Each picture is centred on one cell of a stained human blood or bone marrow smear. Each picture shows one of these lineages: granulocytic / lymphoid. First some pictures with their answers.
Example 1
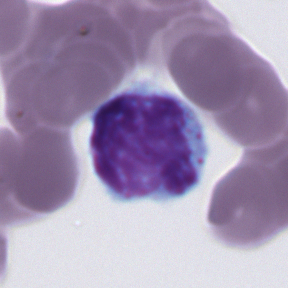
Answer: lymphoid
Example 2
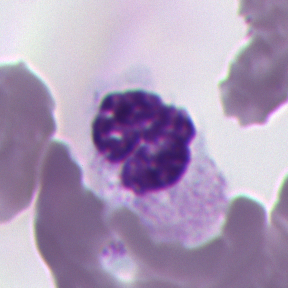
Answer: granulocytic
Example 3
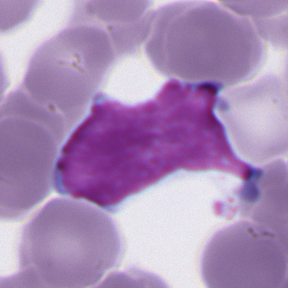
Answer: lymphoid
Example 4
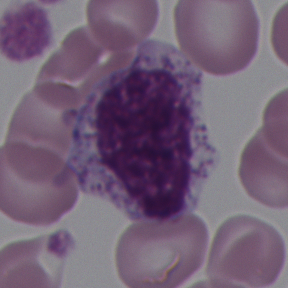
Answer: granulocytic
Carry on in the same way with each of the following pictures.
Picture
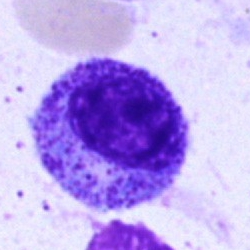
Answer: granulocytic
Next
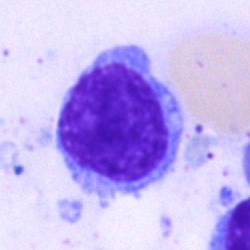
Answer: lymphoid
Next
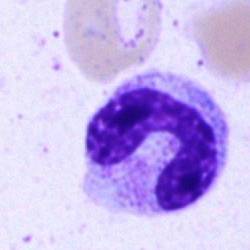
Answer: granulocytic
